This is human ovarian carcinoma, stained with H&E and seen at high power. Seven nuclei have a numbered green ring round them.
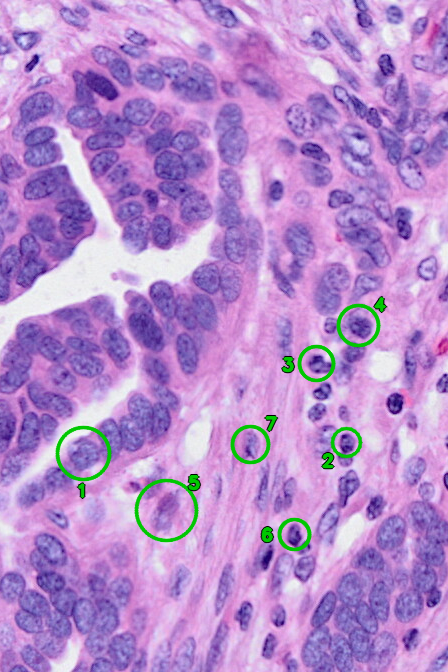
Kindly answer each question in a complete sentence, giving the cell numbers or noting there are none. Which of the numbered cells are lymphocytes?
Within this tissue, the cells numbered 2, 3, 4 and 6 are lymphocytes.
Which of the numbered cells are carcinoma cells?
Only the cell with number 1 is a carcinoma cell.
